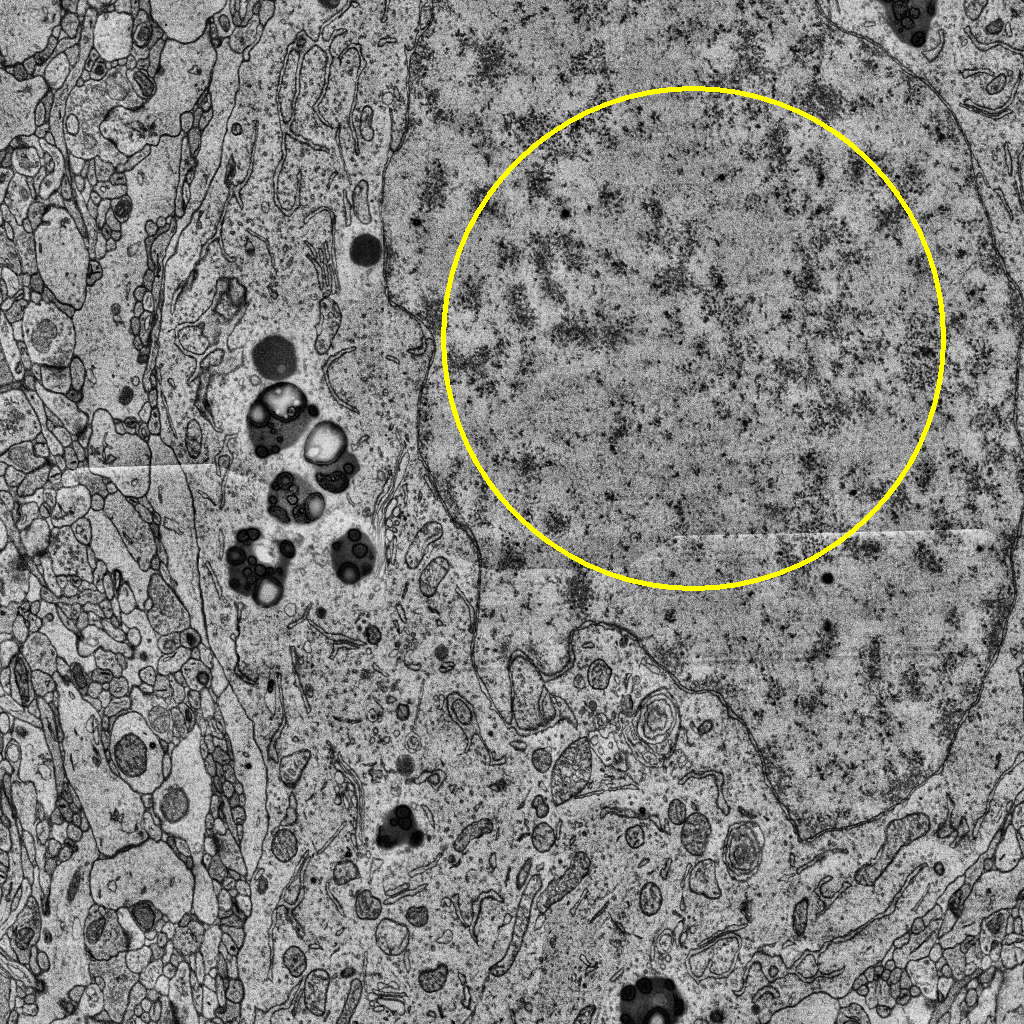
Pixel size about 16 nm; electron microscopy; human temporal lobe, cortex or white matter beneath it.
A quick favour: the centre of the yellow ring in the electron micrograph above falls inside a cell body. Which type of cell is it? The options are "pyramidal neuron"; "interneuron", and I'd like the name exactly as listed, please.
interneuron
